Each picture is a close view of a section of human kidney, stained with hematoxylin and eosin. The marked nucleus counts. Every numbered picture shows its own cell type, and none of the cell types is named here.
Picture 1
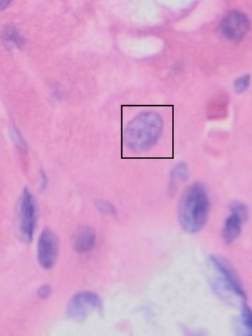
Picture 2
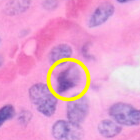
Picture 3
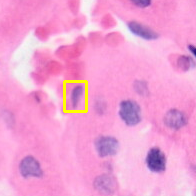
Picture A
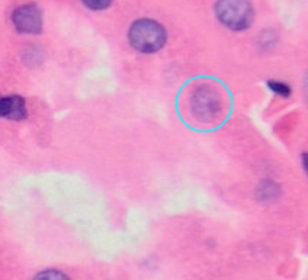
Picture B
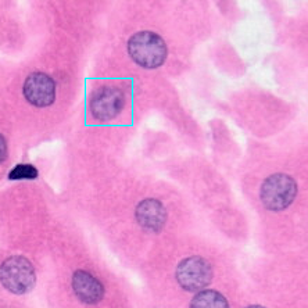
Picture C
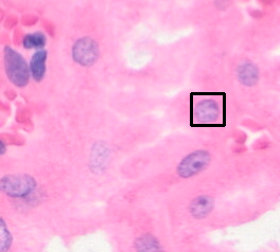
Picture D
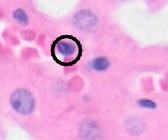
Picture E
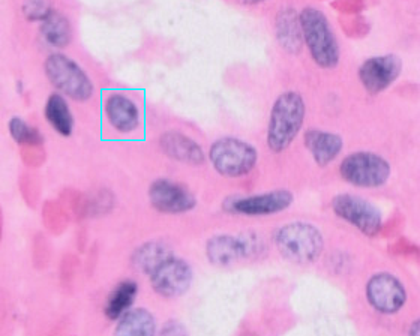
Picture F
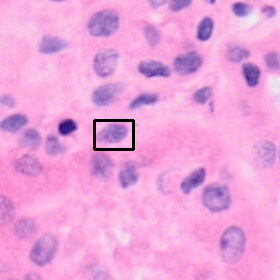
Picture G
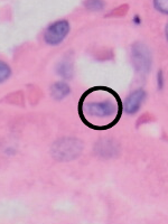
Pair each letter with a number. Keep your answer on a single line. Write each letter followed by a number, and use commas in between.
A 1, B 1, C 1, D 3, E 2, F 3, G 2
